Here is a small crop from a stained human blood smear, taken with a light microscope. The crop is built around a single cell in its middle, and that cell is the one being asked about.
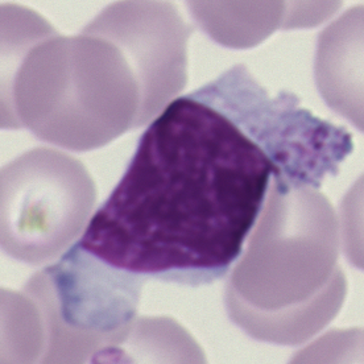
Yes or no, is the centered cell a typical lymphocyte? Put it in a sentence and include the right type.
No, the cell in the centre is a large granular lymphocyte instead of a typical lymphocyte.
